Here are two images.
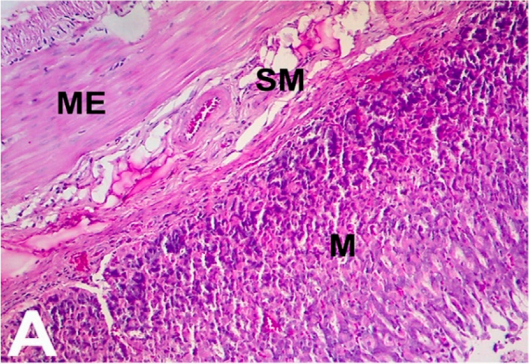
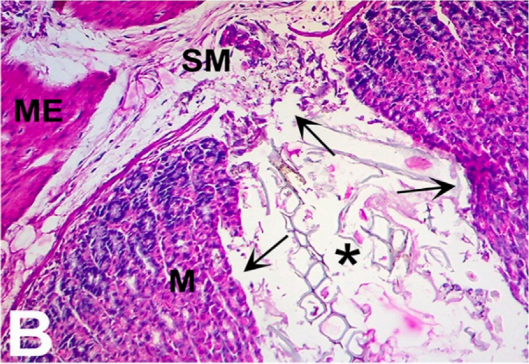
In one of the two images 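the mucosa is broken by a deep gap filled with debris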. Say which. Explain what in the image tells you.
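The second image. Second image: a wide gap interrupts the mucosa and contains pale fragmented material. First image: the mucosa forms a continuous, densely packed glandular layer without gaps.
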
